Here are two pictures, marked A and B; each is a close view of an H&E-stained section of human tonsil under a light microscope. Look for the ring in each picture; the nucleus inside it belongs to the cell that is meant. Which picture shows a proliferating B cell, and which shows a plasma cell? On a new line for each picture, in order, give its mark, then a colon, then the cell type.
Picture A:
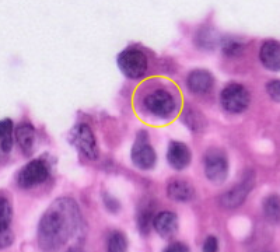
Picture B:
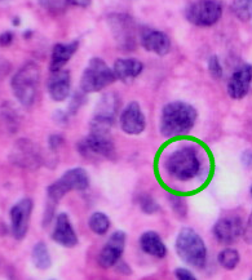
A: plasma cell
B: proliferating B cell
